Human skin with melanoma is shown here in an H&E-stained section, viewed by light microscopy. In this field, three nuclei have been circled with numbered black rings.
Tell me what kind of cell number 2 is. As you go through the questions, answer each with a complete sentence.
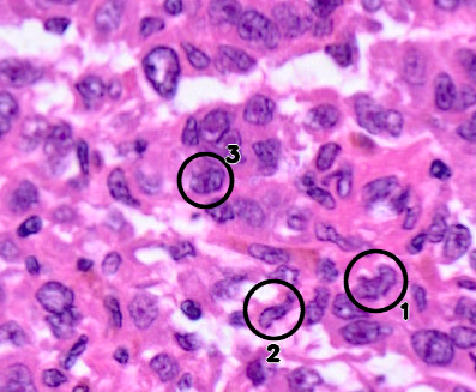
The marked cell bearing number 2 is a macrophage or monocyte.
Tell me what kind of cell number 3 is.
Within this field of view, the cell labelled 3 is a melanoma cell.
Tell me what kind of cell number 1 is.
At number 1, the marked cell is a melanoma cell.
